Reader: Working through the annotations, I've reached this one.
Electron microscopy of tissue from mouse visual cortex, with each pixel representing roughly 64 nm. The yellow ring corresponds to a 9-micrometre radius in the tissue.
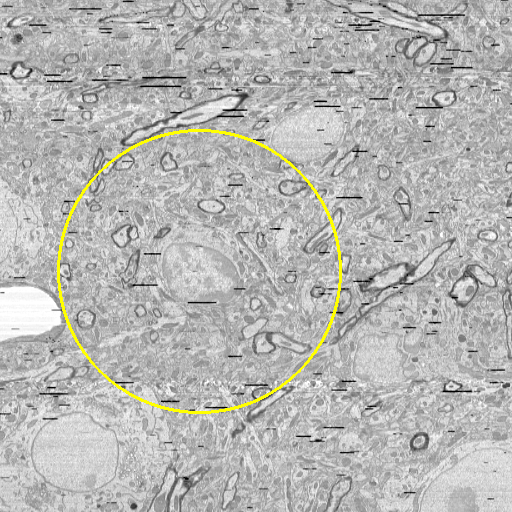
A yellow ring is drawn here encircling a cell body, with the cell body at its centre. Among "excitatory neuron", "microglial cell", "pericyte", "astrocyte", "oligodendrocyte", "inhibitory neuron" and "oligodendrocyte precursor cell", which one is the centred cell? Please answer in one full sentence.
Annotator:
The cell body at the centre of the yellow ring in this image belongs to an oligodendrocyte.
